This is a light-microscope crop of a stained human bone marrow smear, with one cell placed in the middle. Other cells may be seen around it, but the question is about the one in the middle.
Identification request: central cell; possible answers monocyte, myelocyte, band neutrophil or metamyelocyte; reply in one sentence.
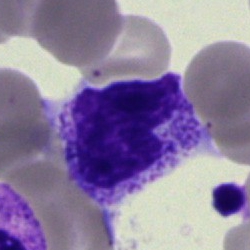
Present in the middle of the crop is a metamyelocyte.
